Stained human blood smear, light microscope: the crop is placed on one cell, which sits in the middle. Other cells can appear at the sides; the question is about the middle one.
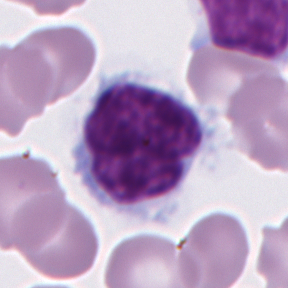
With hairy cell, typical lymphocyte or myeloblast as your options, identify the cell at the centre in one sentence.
In the center of this field lies a hairy cell.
